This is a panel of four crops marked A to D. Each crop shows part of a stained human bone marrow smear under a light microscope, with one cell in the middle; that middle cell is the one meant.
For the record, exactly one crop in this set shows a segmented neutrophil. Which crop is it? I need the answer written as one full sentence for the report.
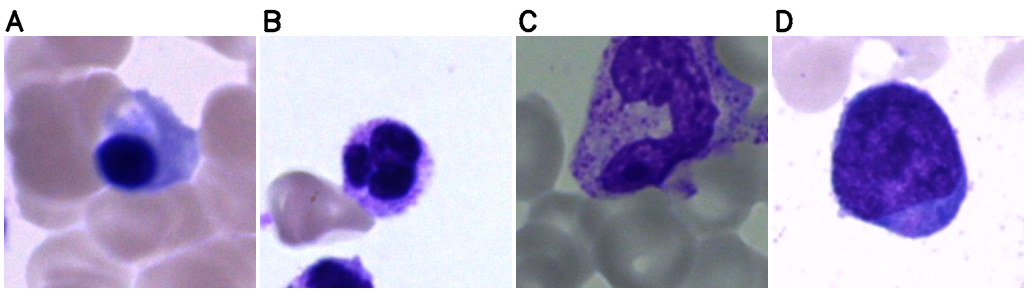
Crop B is the one depicting a segmented neutrophil.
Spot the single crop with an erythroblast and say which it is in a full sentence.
The crop that has an erythroblast in the middle is crop A.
